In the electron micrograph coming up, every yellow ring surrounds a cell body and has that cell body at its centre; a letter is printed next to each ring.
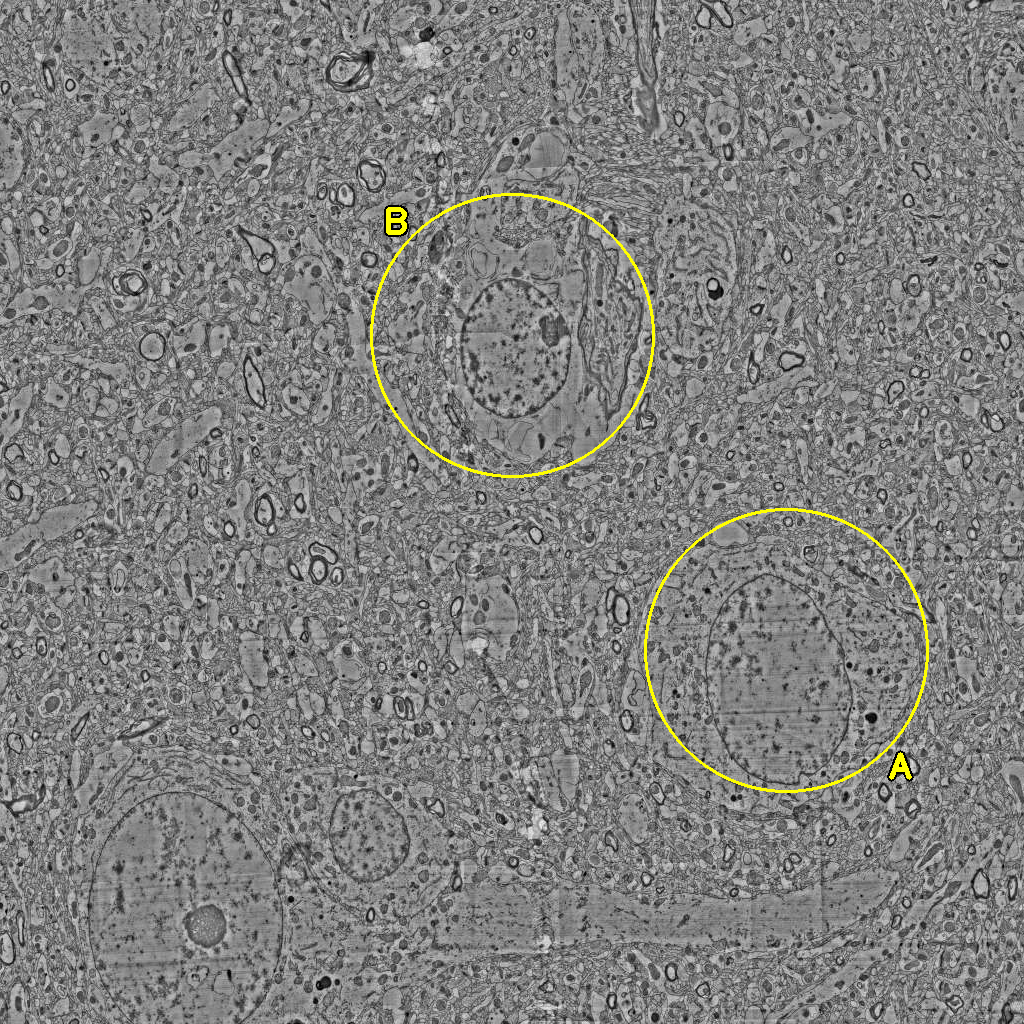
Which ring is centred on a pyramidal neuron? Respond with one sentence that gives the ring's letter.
Ring A is the one whose centre sits on the cell asked for in the picture.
